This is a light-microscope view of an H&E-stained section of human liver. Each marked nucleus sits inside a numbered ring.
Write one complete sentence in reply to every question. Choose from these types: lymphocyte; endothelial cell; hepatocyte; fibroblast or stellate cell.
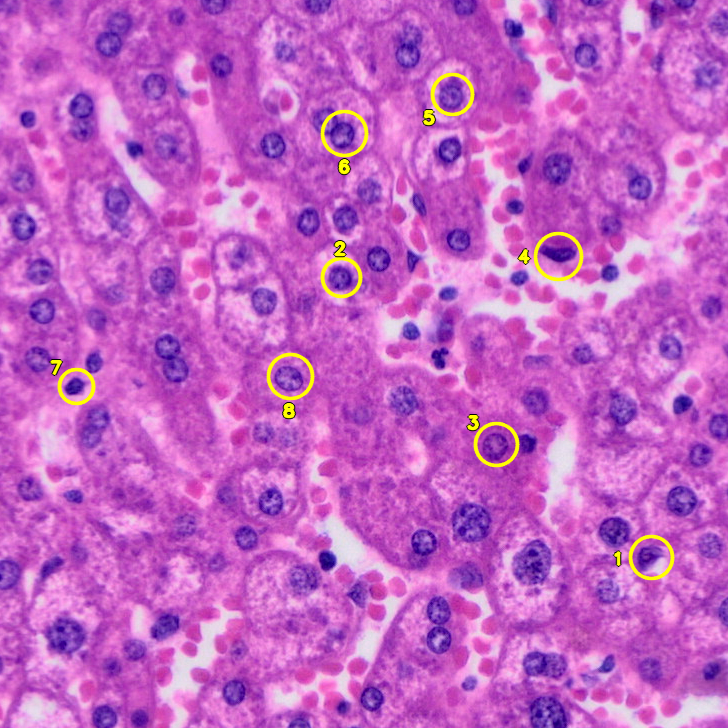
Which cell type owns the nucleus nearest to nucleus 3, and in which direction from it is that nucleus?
It is a fibroblast or stellate cell, whose nucleus lies to the right of nucleus 3.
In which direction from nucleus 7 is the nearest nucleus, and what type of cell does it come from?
Just above and to the right of nucleus 7 lies the nearest nucleus, which belongs to a lymphocyte.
